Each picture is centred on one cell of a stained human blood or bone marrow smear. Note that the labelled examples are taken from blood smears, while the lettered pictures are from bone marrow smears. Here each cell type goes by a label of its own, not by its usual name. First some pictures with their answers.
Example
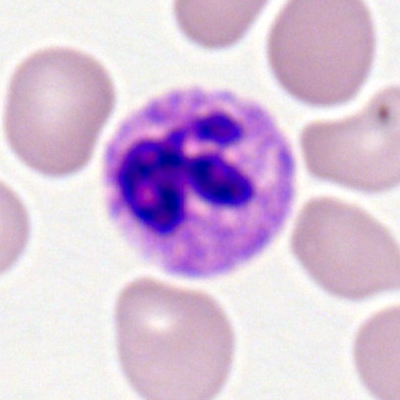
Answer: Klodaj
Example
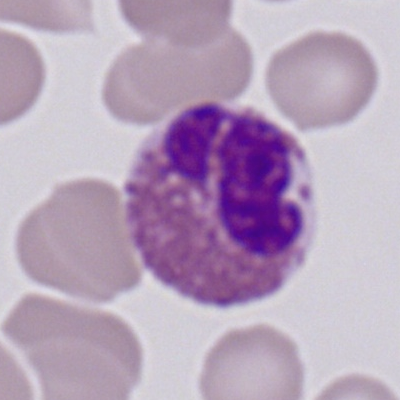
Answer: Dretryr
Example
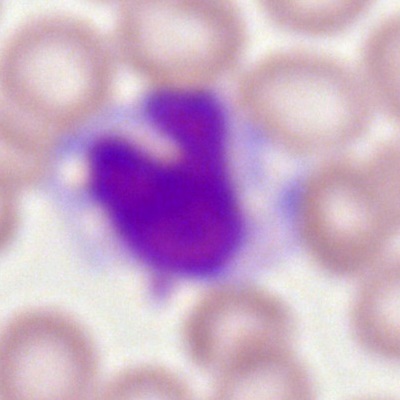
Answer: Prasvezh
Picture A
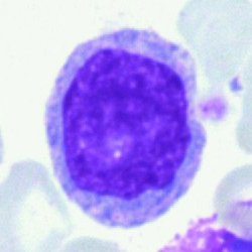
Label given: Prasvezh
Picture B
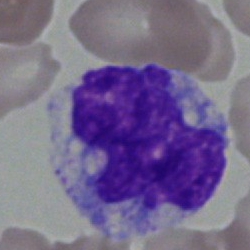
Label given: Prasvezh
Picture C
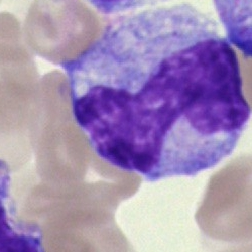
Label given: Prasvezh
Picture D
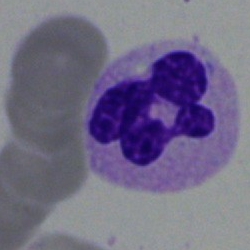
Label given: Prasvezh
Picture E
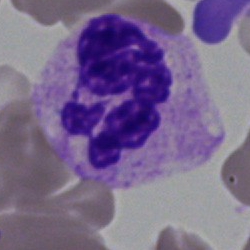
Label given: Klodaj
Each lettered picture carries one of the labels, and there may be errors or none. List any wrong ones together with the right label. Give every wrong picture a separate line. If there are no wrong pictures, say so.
D should be Klodaj, not Prasvezh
